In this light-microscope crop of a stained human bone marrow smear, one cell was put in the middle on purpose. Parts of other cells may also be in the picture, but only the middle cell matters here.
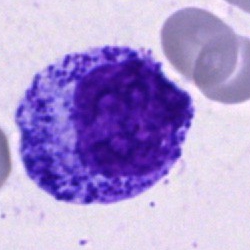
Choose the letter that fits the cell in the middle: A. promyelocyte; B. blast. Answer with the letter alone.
A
